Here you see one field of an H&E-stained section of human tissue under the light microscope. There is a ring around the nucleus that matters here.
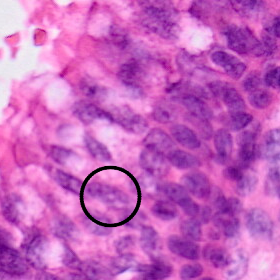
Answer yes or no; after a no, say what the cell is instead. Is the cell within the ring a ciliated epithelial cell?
Yes.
